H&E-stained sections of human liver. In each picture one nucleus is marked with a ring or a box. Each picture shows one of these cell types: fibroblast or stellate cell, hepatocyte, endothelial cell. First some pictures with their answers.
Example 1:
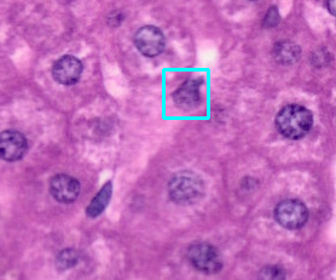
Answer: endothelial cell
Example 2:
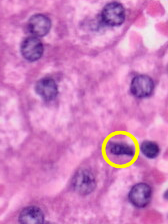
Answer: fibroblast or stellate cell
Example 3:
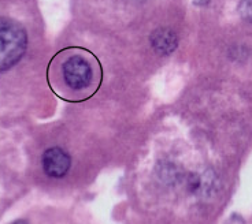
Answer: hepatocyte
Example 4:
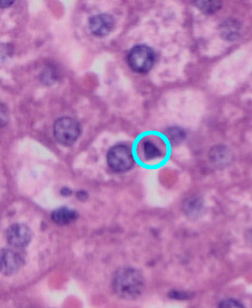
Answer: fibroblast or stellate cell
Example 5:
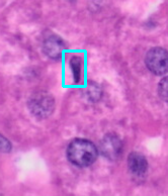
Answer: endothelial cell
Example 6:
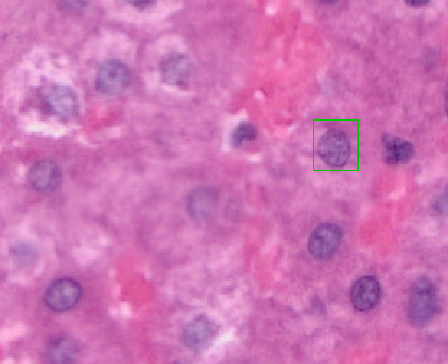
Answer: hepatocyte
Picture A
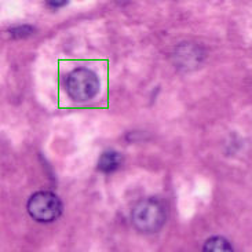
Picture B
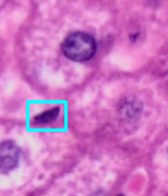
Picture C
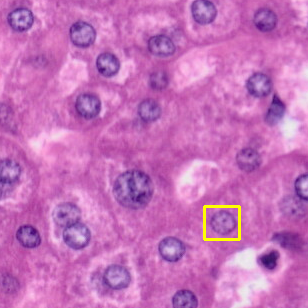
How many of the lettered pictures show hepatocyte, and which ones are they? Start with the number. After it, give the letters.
Count: 2 (A, C)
